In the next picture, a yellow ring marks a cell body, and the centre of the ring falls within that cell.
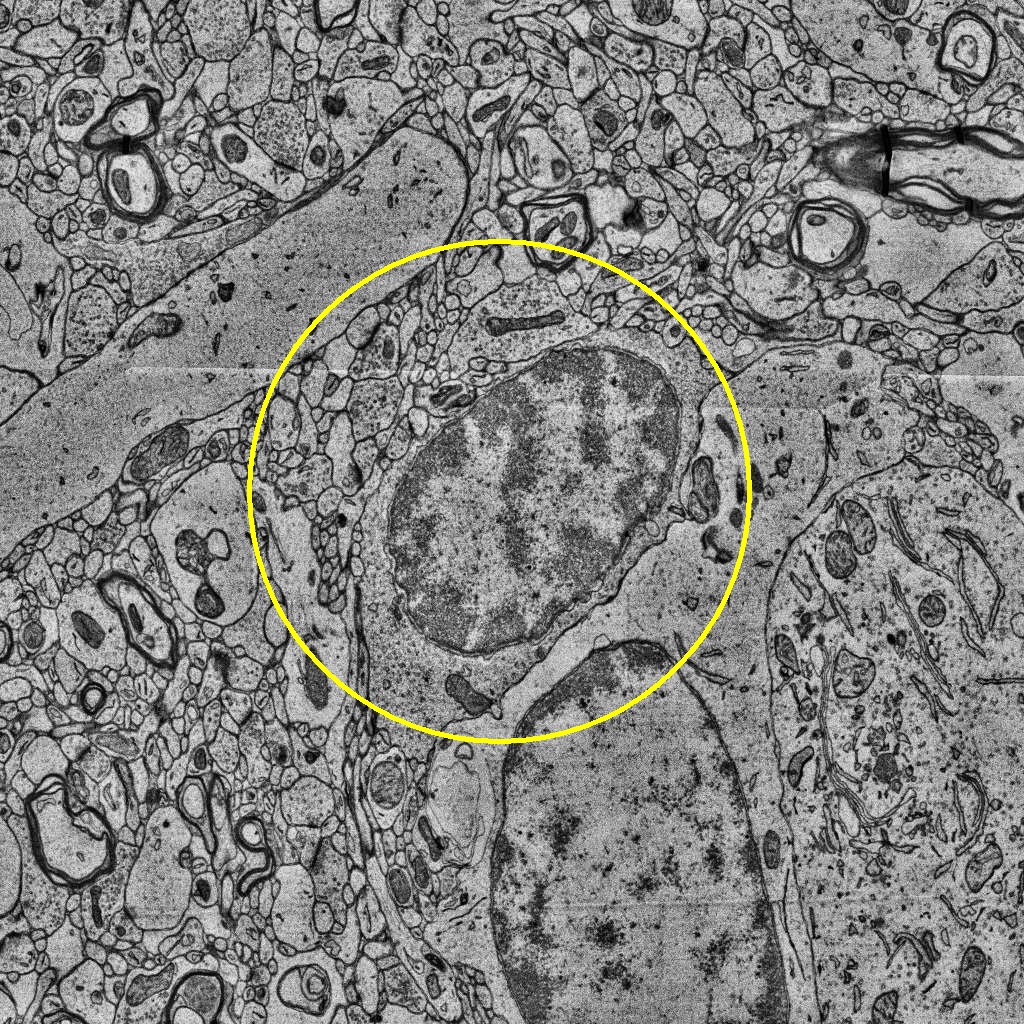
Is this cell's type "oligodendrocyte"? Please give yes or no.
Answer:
yes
